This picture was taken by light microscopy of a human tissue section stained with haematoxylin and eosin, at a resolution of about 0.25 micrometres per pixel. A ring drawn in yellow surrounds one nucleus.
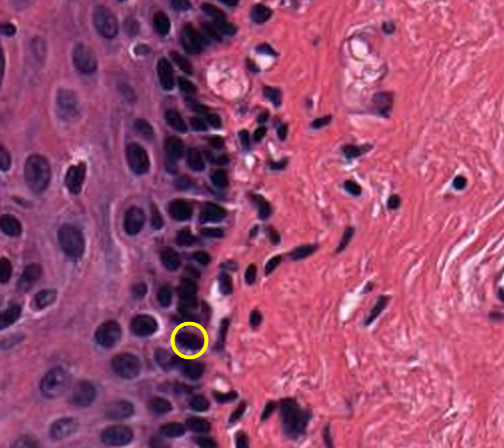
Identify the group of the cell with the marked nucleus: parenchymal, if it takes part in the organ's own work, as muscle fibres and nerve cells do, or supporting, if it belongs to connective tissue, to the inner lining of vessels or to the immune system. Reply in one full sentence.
The marked nucleus is owned by a parenchymal cell, in this case a squamous epithelial cell.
